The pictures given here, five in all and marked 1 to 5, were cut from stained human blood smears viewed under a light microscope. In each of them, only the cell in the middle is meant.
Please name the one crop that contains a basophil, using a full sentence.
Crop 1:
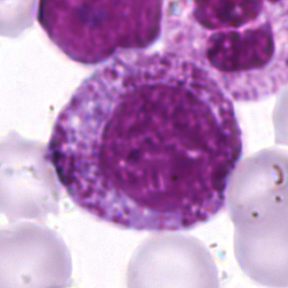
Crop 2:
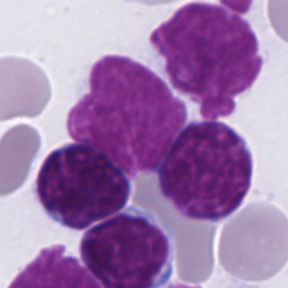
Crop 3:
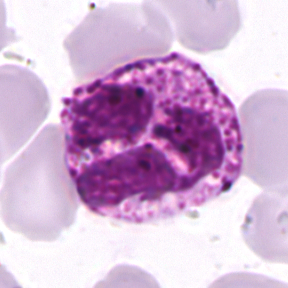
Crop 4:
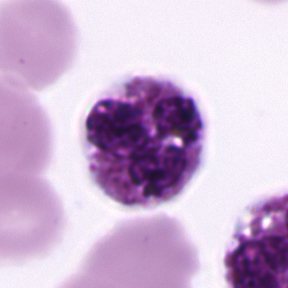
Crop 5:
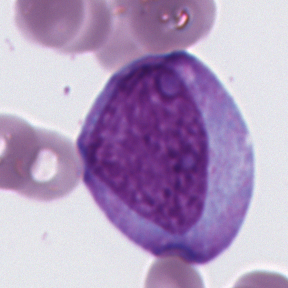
Crop 3 is the one to choose: it shows a basophil.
